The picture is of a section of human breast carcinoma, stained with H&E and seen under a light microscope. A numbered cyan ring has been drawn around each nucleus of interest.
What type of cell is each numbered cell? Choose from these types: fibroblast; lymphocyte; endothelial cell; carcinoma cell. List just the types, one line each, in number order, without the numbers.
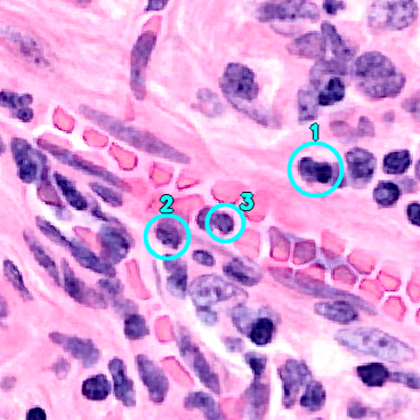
lymphocyte
endothelial cell
endothelial cell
